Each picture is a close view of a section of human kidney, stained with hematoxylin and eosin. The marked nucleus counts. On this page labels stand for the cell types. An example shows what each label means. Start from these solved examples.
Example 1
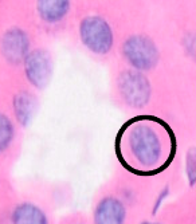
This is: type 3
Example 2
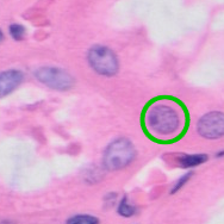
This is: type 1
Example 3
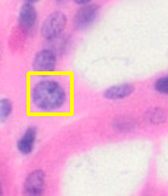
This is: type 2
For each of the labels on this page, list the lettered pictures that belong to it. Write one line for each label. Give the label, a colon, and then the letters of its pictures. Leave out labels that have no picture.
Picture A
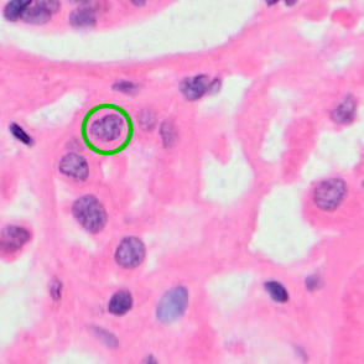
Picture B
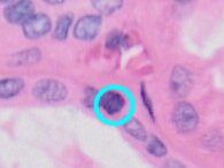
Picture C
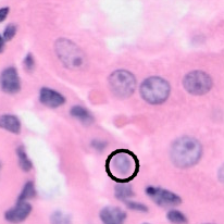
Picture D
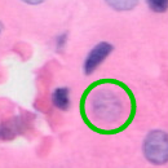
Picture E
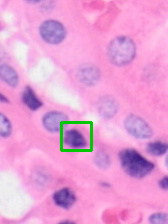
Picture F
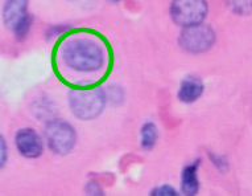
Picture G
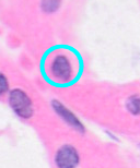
type 3: G
type 1: D
type 2: A, B, C, E, F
